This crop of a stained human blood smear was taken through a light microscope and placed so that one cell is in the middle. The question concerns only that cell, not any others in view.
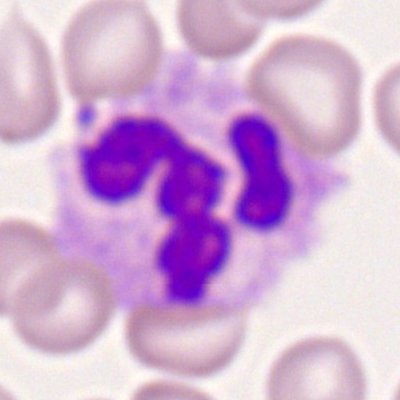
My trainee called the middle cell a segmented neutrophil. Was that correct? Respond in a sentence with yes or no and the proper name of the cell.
Yes, placed in the middle of the crop is a segmented neutrophil.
